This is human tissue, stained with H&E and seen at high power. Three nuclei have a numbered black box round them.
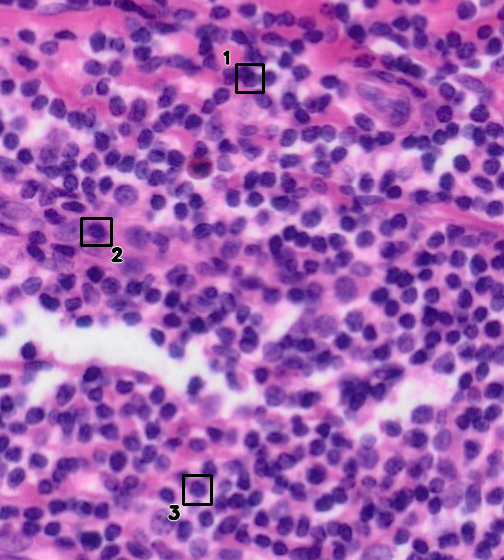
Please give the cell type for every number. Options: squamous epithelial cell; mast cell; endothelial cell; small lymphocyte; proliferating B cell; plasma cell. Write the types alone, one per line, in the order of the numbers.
small lymphocyte
endothelial cell
small lymphocyte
